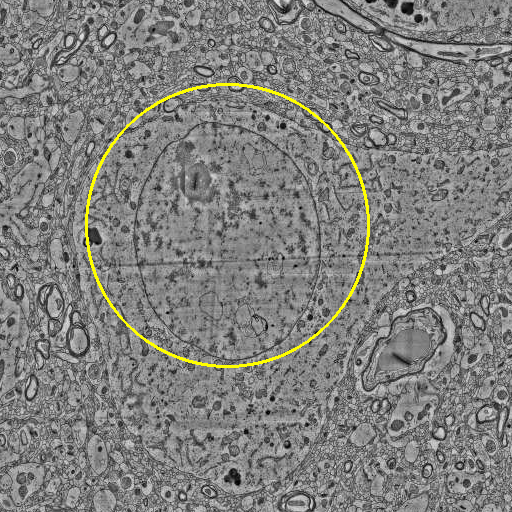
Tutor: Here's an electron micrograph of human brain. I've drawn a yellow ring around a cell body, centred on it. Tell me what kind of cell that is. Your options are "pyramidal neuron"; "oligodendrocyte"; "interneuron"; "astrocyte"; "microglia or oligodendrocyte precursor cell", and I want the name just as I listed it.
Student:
pyramidal neuron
